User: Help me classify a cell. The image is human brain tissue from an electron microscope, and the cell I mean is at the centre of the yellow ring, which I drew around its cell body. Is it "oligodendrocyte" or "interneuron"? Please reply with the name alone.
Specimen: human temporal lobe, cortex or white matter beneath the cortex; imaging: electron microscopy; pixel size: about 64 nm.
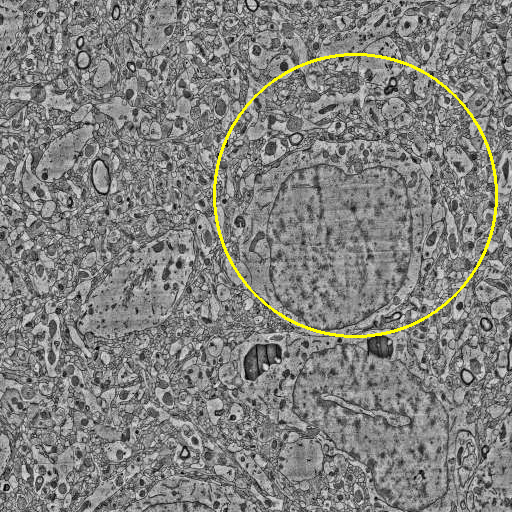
interneuron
